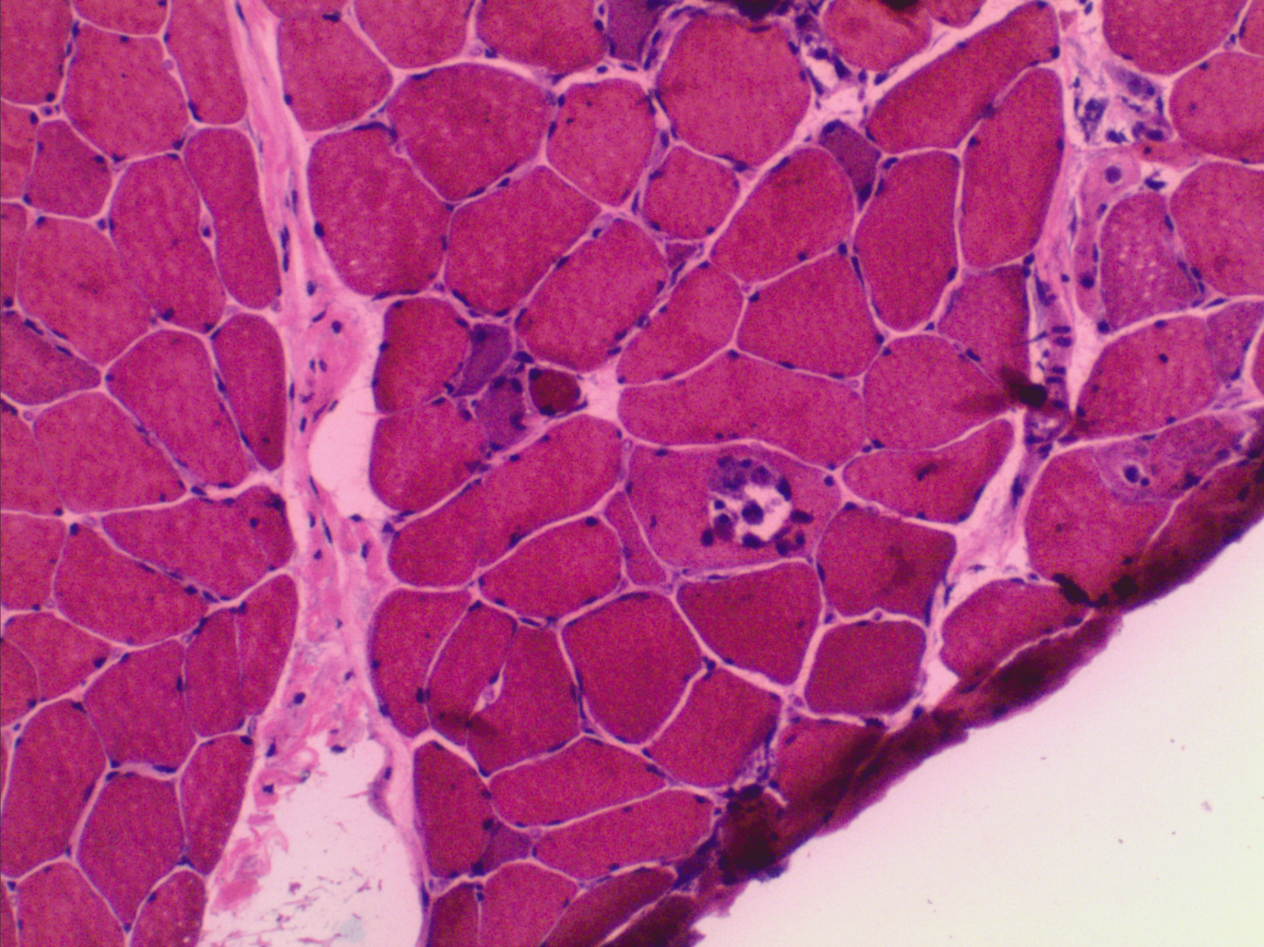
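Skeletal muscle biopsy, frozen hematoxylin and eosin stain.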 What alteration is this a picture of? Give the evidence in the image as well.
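A pale fiber near the centre is filled with clustered small dark nuclei and cleared cytoplasm. Scattered small fibers stain more purple than their pink neighbours. There is no dense inflammatory infiltrate around fibers or vessels.
Hence: necrotizing myopathy.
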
